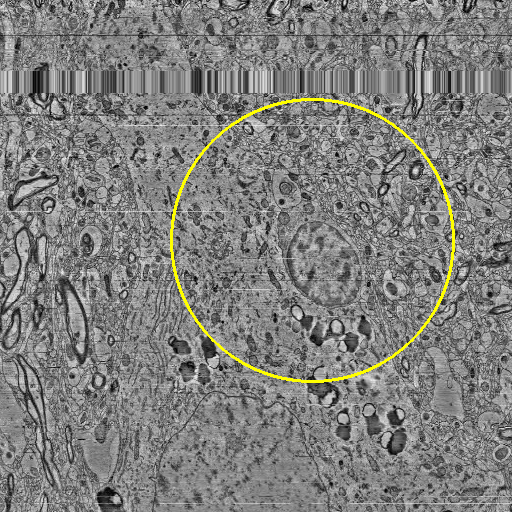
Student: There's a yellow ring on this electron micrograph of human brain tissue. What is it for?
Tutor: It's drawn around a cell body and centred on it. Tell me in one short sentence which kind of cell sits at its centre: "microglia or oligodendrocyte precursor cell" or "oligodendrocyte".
The cell at the centre of the ring is an oligodendrocyte.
